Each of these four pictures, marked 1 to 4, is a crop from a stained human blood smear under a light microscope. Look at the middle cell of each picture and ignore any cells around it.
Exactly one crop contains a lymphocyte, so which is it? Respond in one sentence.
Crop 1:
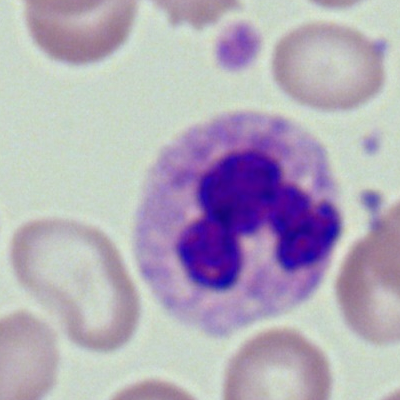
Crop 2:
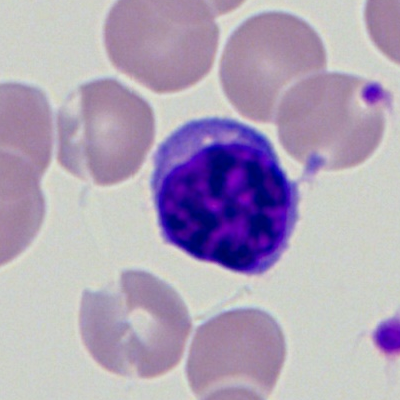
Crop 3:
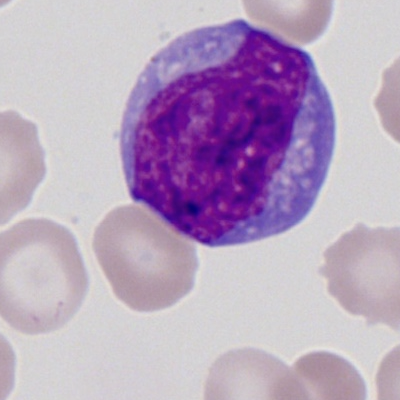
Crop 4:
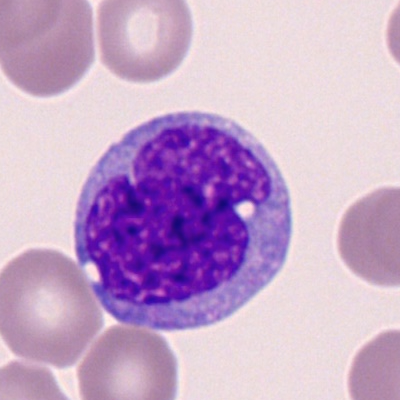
The one showing a lymphocyte is the crop labelled 2.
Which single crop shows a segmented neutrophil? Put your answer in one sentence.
Among the crops, only crop 1 contains a segmented neutrophil.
